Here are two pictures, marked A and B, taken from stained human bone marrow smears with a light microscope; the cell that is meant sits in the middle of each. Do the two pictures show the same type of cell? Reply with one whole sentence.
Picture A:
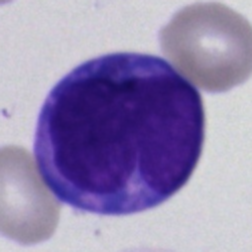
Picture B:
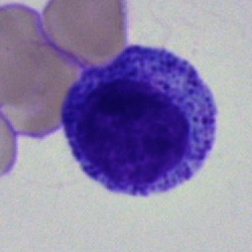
No, they differ: the cell is a blast in picture A and a myelocyte in picture B.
